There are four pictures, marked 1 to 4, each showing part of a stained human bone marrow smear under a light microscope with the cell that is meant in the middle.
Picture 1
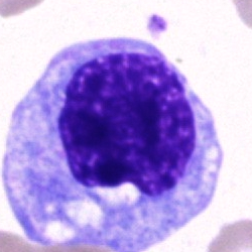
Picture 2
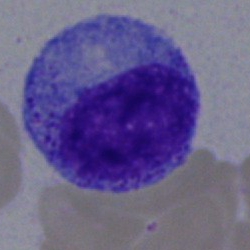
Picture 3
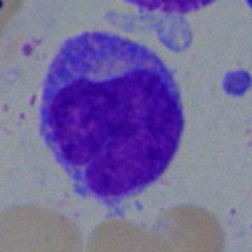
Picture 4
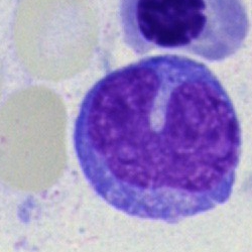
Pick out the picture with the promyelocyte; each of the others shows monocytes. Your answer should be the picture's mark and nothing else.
2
